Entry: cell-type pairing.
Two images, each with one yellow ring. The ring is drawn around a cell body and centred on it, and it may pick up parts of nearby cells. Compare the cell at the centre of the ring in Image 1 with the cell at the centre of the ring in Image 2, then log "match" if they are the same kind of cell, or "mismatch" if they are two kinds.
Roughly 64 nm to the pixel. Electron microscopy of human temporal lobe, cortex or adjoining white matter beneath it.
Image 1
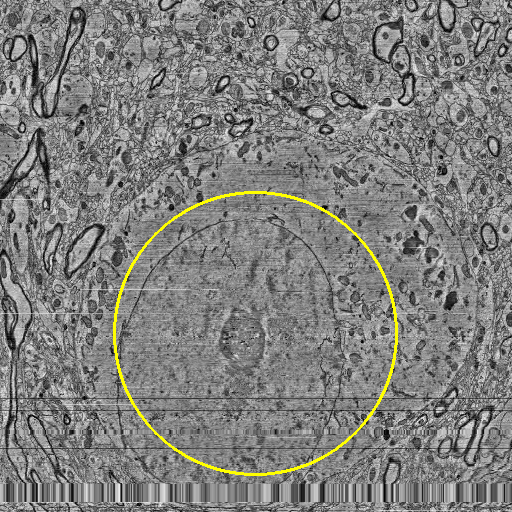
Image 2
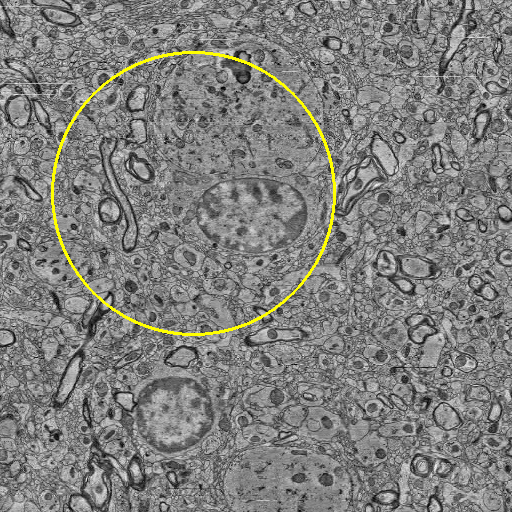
mismatch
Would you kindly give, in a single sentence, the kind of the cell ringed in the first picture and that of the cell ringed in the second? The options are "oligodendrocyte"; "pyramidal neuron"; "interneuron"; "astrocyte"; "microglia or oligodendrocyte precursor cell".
The second cell is an oligodendrocyte, and the first cell is a pyramidal neuron.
